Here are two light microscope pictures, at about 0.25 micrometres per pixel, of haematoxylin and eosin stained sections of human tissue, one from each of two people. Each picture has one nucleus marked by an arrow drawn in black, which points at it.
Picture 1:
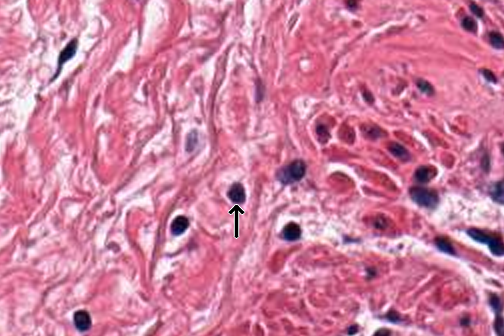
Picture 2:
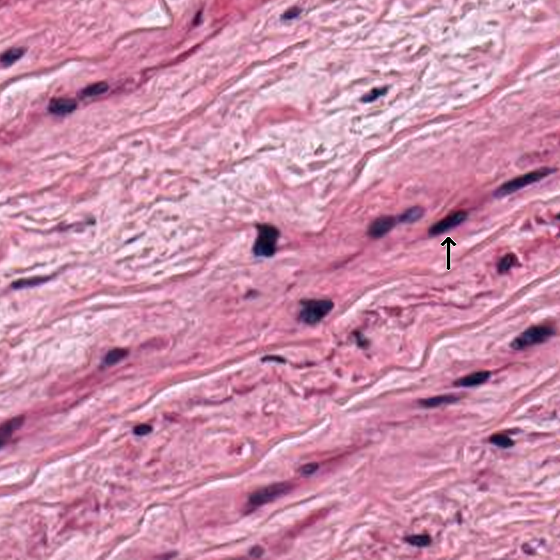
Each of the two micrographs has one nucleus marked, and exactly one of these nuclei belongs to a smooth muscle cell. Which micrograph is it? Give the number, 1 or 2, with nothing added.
2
